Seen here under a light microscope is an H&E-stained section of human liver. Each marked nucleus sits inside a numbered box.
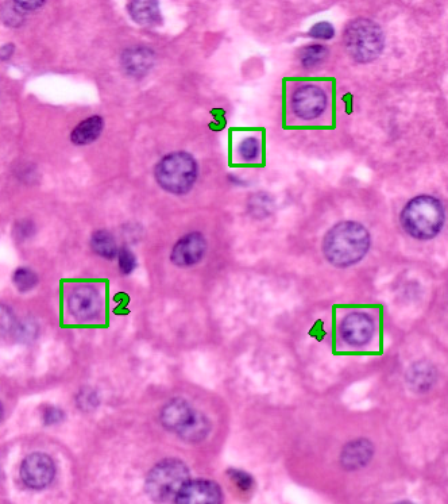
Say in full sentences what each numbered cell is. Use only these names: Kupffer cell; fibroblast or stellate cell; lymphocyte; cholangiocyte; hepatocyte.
Cells 1, 2 and 4 are hepatocytes. Cell 3 is a lymphocyte.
